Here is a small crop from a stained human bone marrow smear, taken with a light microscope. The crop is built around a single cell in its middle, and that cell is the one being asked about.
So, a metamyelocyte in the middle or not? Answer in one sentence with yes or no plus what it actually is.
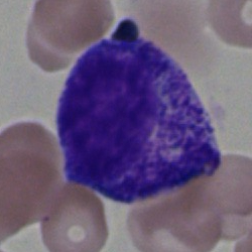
No, that would be a myelocyte, not a metamyelocyte, for the cell at the centre.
